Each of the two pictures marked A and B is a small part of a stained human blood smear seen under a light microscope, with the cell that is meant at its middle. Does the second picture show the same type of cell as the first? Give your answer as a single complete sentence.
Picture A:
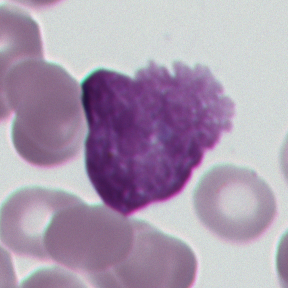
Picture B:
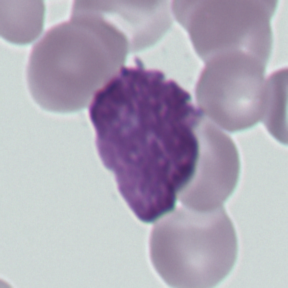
Yes, the two pictures both show smudge cells.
